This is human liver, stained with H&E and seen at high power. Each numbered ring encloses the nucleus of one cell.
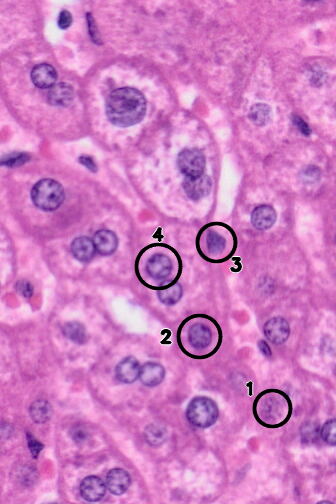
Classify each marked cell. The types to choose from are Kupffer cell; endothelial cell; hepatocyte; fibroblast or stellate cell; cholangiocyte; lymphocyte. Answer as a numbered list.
1. hepatocyte
2. hepatocyte
3. endothelial cell
4. hepatocyte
